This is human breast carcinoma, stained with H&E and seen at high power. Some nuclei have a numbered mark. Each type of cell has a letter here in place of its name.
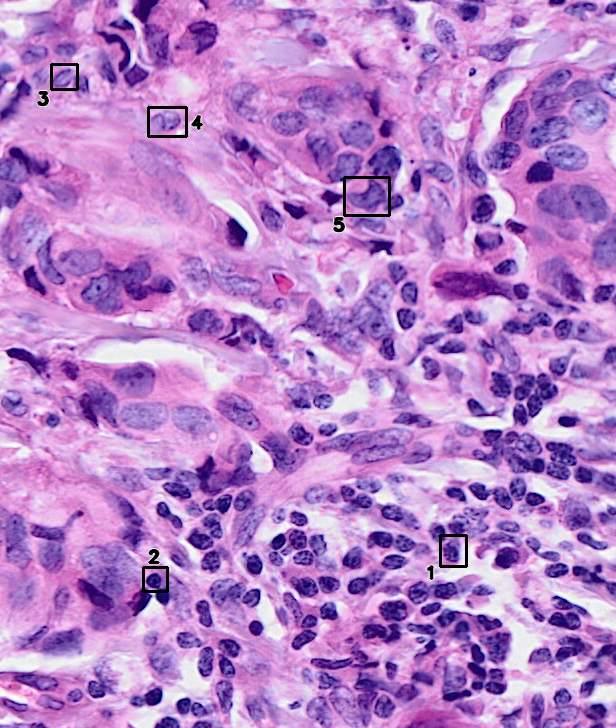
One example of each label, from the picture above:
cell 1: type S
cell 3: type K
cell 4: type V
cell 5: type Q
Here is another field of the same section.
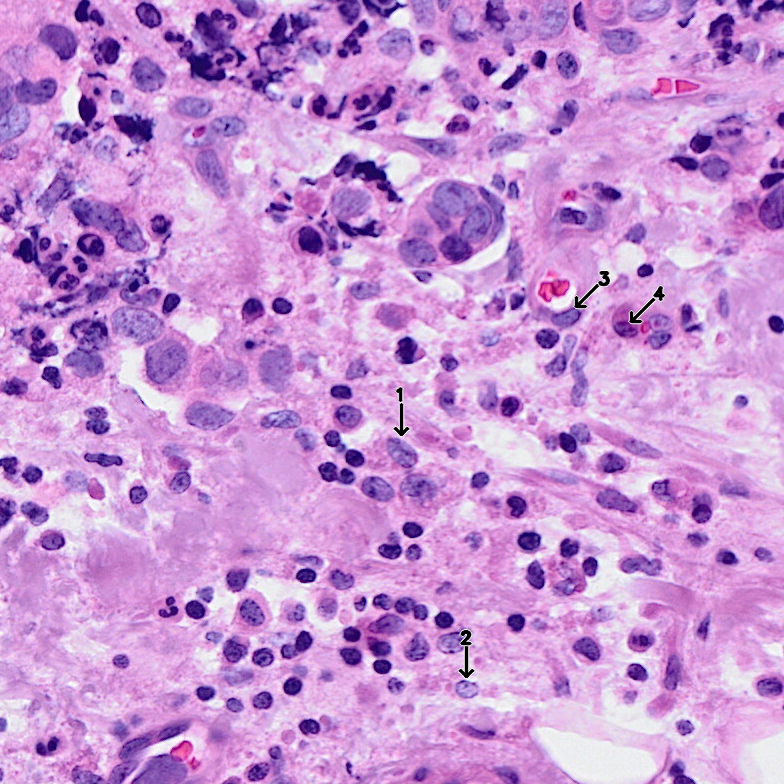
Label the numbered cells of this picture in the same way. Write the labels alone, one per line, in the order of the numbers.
type V
type V
type K
type K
